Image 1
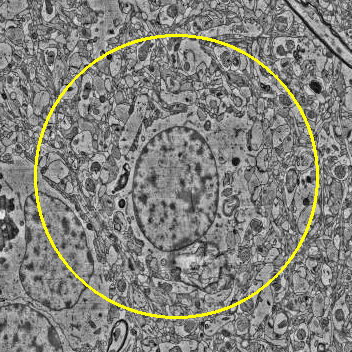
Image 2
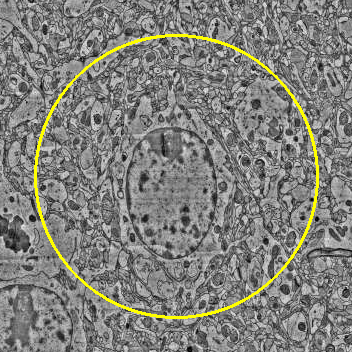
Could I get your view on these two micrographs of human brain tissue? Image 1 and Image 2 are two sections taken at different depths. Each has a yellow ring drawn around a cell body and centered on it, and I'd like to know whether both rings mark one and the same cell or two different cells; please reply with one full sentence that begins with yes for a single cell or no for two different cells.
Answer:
Yes, the second ring marks the same cell as the first.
